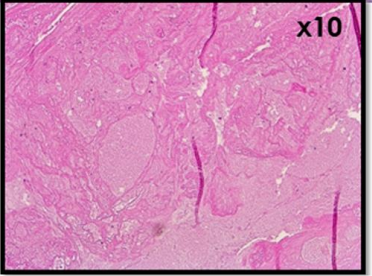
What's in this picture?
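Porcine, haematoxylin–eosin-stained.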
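This is a section of a thrombus made up of pale to moderately pink fibrin with platelets, without intact red blood cells. The pink material forms irregular, swirled and folded lamellae with pale spaces between them. A rounded, finely granular pale area lies on the left side of the field. No dense clusters of intact round cells are seen. Dark thin lines crossing the field are folds or cracks in the section.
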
